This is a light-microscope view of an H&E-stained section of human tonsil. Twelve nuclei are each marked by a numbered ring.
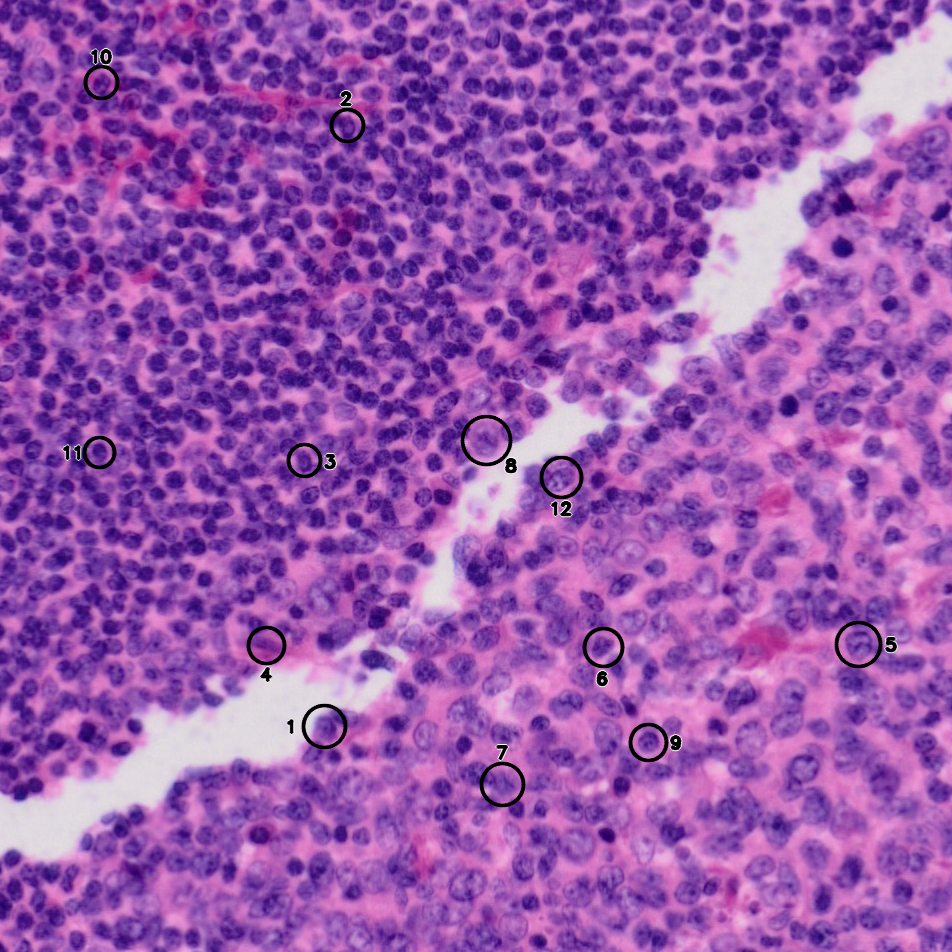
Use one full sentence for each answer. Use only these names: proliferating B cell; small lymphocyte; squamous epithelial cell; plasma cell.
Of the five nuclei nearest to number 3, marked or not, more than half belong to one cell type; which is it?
The majority of the five nuclei closest to number 3 belong to small lymphocytes.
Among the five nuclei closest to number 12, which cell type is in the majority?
Most of the five nuclei nearest to number 12 are those of proliferating B cells.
